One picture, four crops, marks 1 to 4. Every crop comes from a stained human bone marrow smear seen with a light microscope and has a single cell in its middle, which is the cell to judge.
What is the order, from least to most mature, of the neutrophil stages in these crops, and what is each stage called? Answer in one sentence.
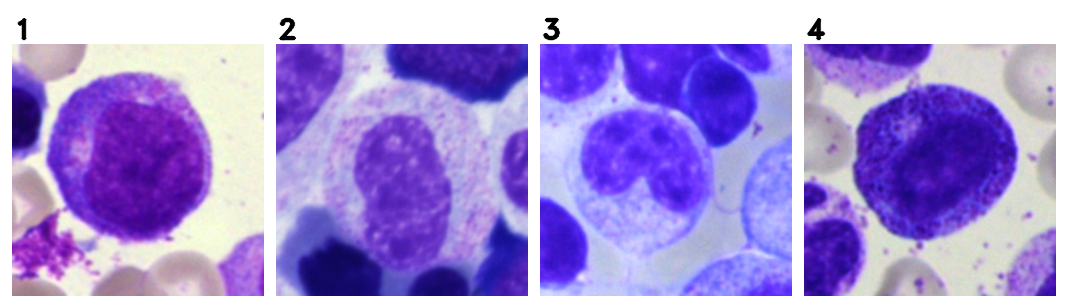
The crops, ordered from least to most mature, are crop 4 (a promyelocyte), crop 1 (a myelocyte), crop 2 (a metamyelocyte) and crop 3 (a band neutrophil).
